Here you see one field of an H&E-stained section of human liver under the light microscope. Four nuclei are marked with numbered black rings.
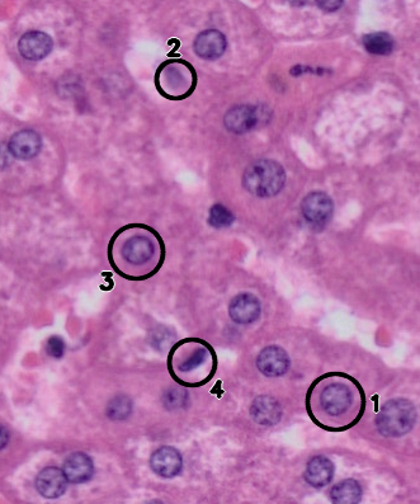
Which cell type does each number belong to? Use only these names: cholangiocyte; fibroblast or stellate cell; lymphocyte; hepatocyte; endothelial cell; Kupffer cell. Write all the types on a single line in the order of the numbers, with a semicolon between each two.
hepatocyte; Kupffer cell; hepatocyte; endothelial cell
